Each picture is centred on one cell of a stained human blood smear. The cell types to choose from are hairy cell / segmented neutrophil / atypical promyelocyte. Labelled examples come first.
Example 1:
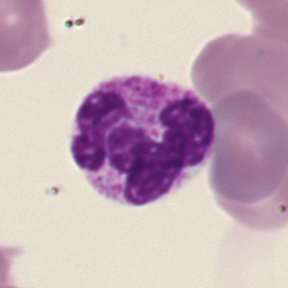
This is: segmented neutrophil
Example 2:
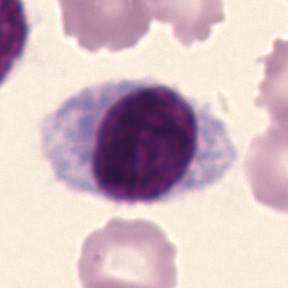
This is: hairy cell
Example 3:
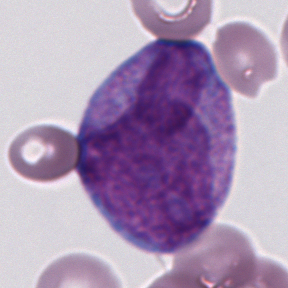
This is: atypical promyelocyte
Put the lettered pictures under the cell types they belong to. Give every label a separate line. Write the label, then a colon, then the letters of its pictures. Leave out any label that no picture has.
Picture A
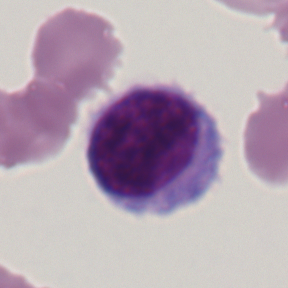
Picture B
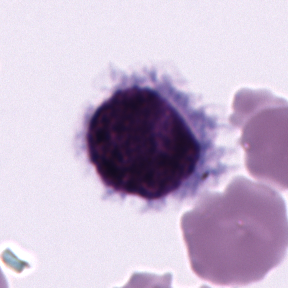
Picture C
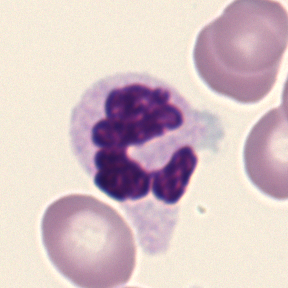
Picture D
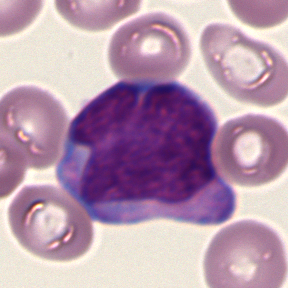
hairy cell: A, B
segmented neutrophil: C
atypical promyelocyte: D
